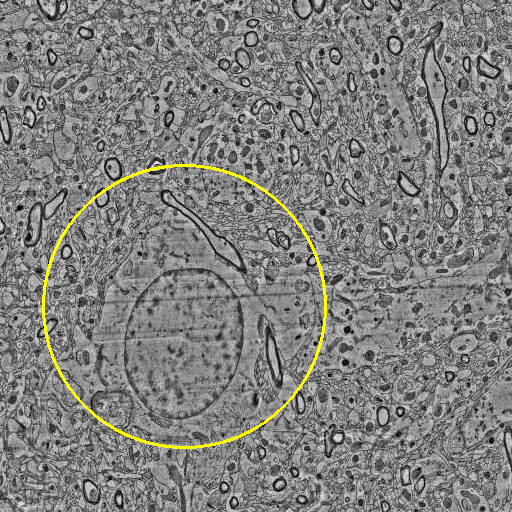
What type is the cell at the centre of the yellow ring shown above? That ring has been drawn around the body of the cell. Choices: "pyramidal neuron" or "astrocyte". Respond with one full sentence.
My answer is that an astrocyte lies at the centre of the yellow ring above.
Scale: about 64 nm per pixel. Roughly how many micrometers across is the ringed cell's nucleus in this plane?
The ringed cell's nucleus is about 10 micrometres long and 8 micrometres wide in this plane.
